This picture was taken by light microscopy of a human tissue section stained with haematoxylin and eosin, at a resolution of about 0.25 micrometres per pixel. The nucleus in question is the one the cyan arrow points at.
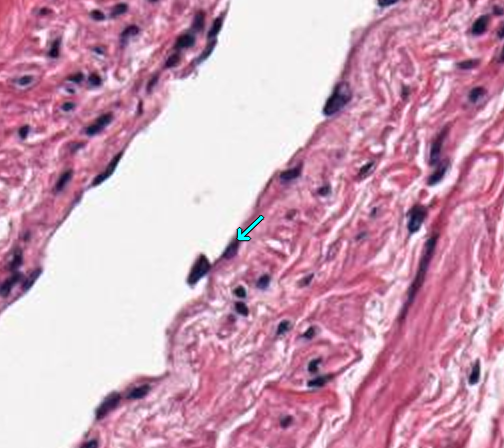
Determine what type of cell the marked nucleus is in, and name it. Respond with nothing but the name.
endothelial cell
